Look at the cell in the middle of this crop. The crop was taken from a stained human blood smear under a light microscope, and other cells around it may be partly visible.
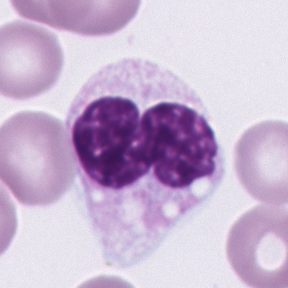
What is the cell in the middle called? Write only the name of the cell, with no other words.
segmented neutrophil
